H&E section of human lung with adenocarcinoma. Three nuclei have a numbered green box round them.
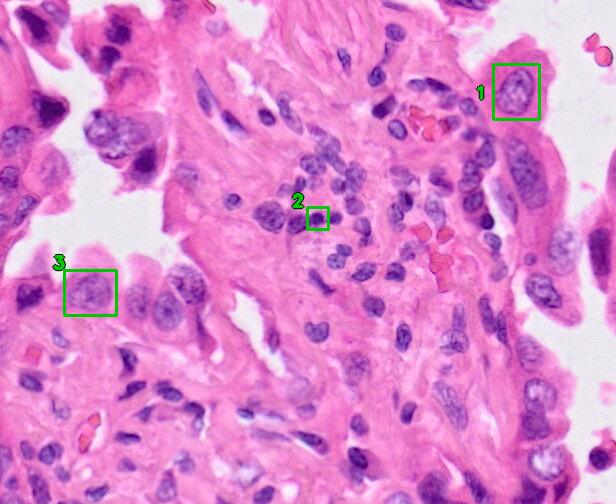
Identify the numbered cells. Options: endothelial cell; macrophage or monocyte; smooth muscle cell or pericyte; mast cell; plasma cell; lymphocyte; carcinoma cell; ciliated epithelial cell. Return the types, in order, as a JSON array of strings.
["carcinoma cell", "lymphocyte", "carcinoma cell"]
